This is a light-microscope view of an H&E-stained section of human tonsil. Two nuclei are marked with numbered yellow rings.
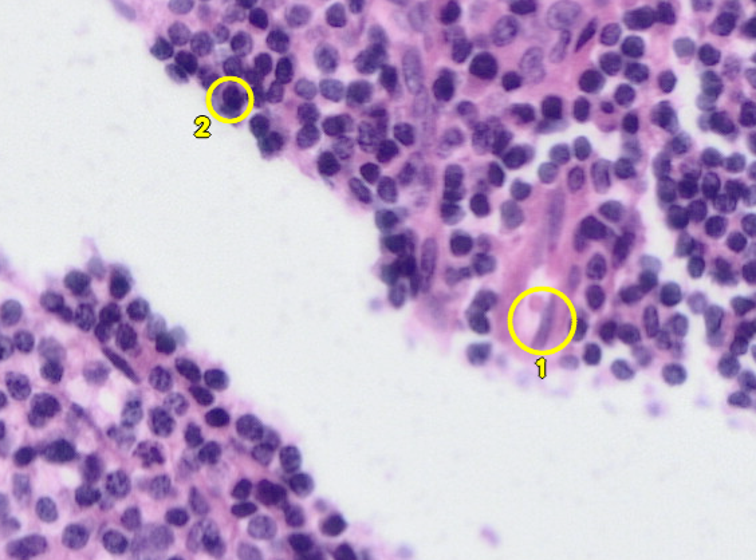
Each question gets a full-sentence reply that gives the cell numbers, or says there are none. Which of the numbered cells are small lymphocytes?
Of the cells marked with numbers, cell 2 is the only one that is a small lymphocyte.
